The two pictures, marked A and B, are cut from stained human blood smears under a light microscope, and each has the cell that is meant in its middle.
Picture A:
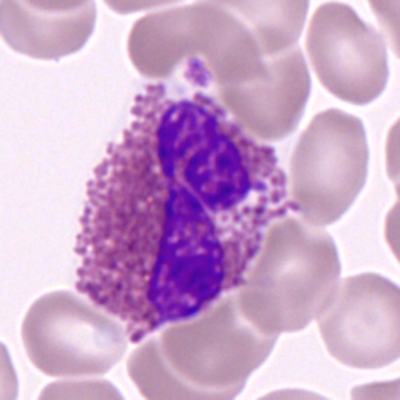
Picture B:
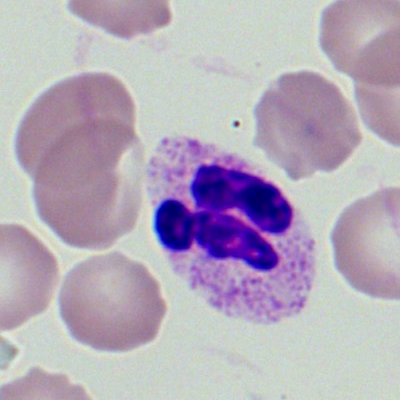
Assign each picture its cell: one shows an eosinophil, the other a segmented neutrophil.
A: eosinophil
B: segmented neutrophil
